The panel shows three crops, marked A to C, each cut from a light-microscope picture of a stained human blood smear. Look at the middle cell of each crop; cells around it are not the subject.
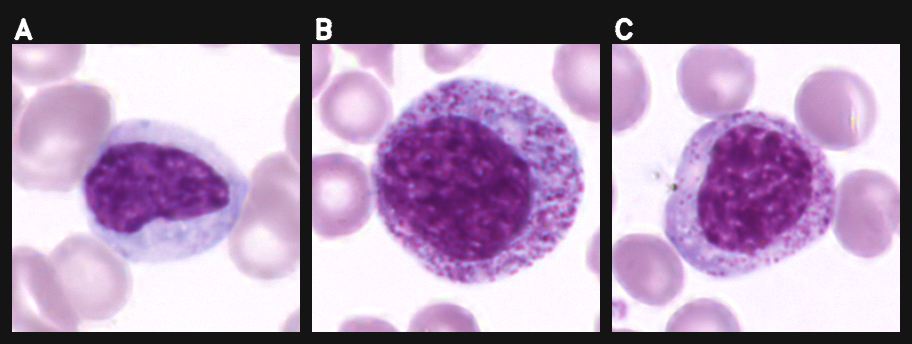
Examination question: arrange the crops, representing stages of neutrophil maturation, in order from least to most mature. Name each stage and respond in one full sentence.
In ascending order of maturity, the cells are crop B (a promyelocyte), crop C (a myelocyte) and crop A (a metamyelocyte).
